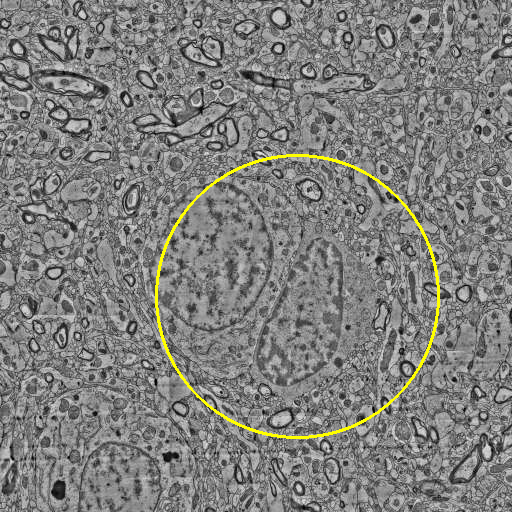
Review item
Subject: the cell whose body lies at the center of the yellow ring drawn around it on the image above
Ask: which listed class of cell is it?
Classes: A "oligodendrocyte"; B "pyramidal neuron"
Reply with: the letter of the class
A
